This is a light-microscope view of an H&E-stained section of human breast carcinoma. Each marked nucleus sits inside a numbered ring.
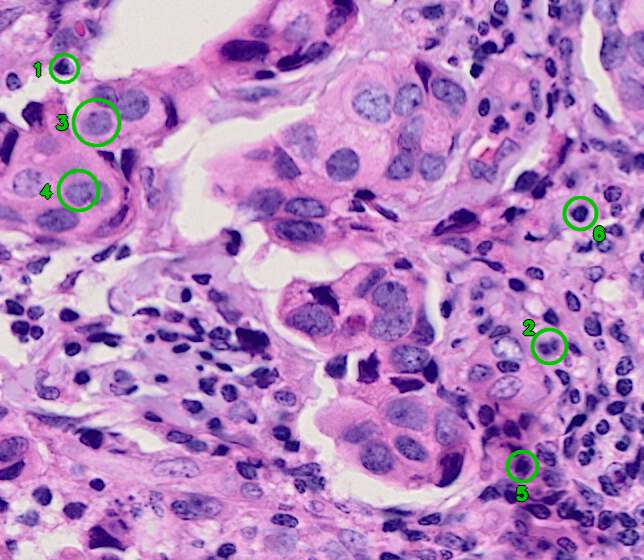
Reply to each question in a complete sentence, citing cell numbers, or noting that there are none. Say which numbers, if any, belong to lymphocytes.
Within the section, cells numbered 1, 2, 5 and 6 are lymphocytes.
